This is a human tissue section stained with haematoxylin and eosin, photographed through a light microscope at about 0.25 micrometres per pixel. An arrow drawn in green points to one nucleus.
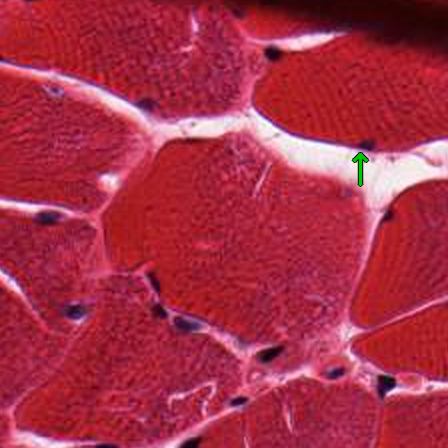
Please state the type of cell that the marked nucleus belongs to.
skeletal muscle fibre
